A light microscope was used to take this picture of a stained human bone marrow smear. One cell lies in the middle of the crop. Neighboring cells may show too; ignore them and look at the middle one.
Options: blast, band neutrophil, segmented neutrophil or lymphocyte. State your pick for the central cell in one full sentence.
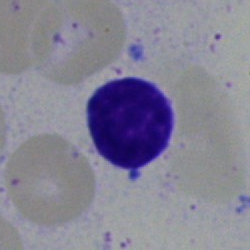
Positioned in the middle of the crop is a lymphocyte.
